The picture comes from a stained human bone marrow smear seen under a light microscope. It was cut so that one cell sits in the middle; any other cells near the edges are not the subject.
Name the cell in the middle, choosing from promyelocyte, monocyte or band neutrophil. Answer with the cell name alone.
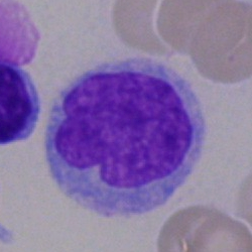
monocyte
